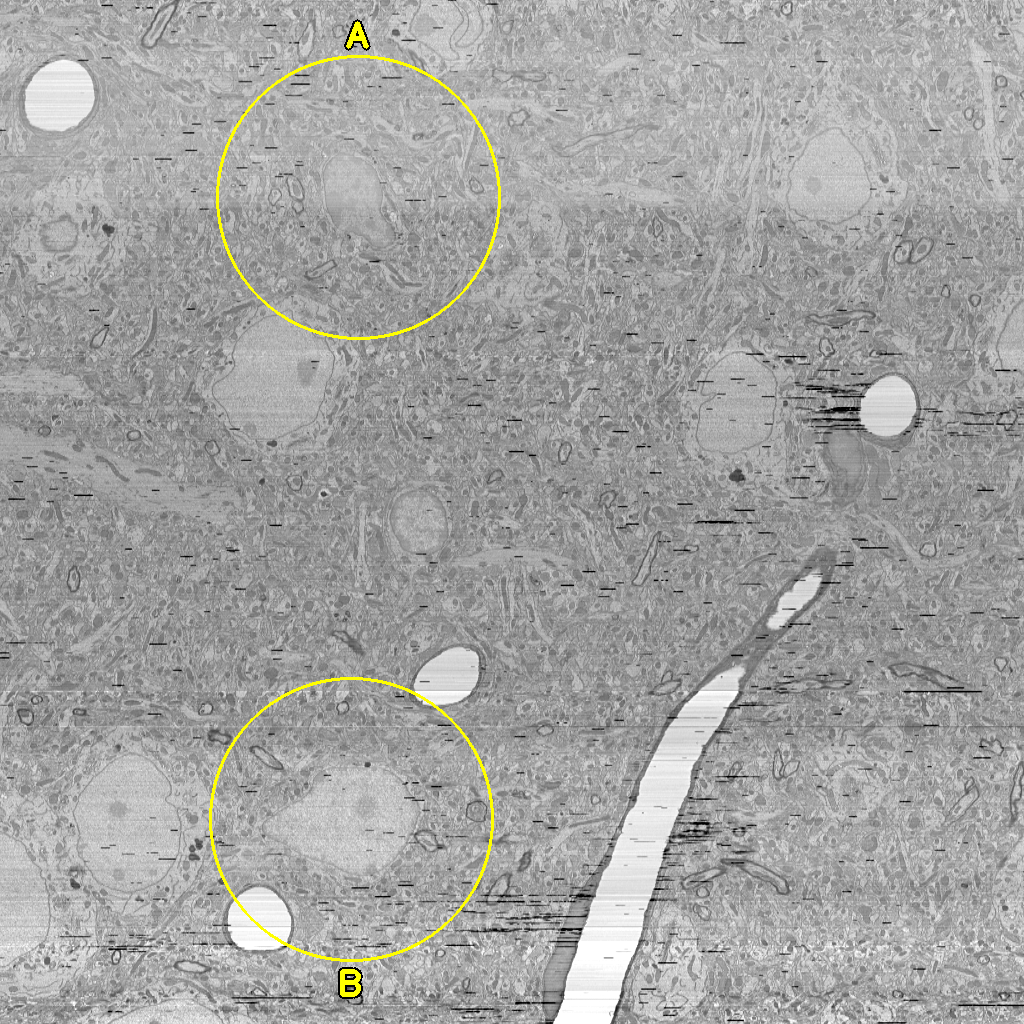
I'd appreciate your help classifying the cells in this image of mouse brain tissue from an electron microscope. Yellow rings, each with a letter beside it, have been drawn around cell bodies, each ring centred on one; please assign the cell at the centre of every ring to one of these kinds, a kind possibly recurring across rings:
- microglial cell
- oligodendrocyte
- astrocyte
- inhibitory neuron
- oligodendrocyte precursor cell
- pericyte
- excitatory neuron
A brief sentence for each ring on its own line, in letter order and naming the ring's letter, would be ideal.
In ring A, the central cell is a microglial cell.
In ring B, the central cell is an astrocyte.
